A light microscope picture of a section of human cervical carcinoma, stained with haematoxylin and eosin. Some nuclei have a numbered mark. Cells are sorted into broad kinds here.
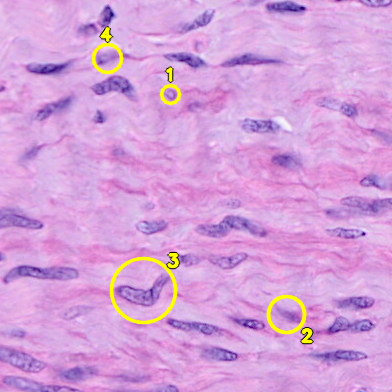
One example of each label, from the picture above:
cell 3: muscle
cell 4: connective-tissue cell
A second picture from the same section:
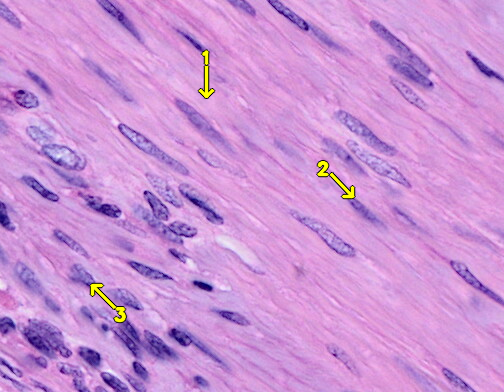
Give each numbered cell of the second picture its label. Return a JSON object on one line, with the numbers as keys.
{"1": "muscle", "2": "connective-tissue cell", "3": "muscle"}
